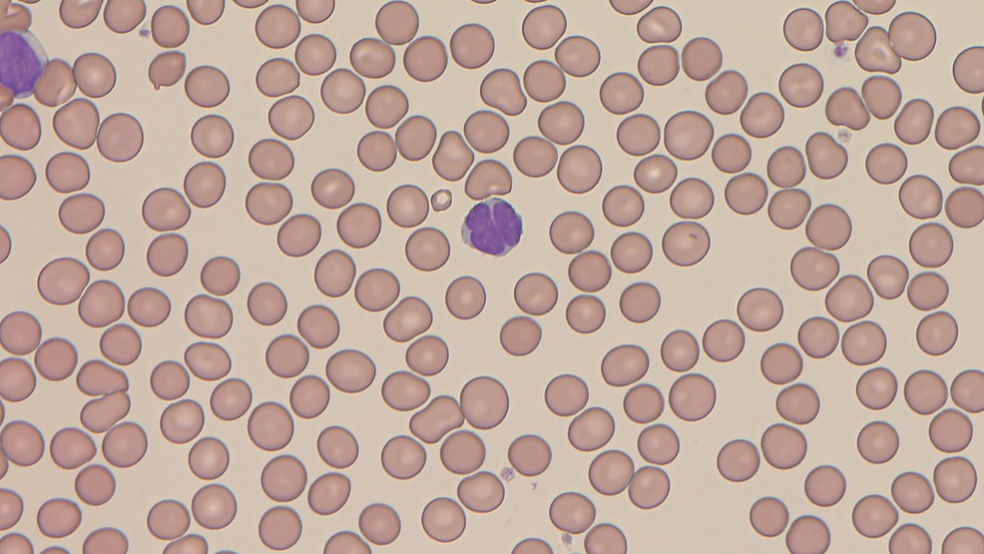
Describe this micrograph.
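Peripheral blood smear with an atypical lymphocyte, a flower cell, in the center among many red blood cells. The central cell is about the size of a small lymphocyte. Its nucleus is deeply indented and lobulated into several rounded, petal-like lobes with dense, dark purple chromatin. A narrow rim of pale cytoplasm surrounds the nucleus. The red blood cells are round, evenly spread and mostly non-overlapping, with a few small platelets scattered between them. A second nucleated cell is cut off at the upper left edge.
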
